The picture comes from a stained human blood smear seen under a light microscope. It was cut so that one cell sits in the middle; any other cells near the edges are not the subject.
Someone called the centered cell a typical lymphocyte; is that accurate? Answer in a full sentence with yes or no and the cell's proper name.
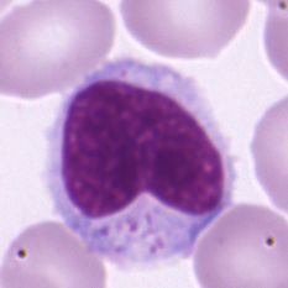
No, the cell in the centre is a large granular lymphocyte instead of a typical lymphocyte.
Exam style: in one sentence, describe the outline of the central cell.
The margin of this cell is irregular, showing raggedness or projections instead of smoothness.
